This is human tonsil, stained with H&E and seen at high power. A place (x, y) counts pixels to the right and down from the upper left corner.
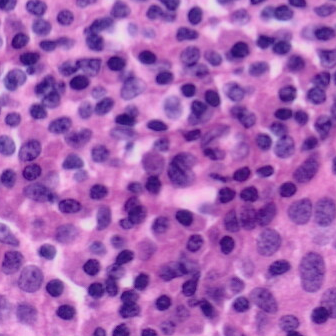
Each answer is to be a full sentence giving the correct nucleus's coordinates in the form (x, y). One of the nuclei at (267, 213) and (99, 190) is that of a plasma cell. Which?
Which one belongs to a plasma cell? The nucleus at (99, 190) does.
